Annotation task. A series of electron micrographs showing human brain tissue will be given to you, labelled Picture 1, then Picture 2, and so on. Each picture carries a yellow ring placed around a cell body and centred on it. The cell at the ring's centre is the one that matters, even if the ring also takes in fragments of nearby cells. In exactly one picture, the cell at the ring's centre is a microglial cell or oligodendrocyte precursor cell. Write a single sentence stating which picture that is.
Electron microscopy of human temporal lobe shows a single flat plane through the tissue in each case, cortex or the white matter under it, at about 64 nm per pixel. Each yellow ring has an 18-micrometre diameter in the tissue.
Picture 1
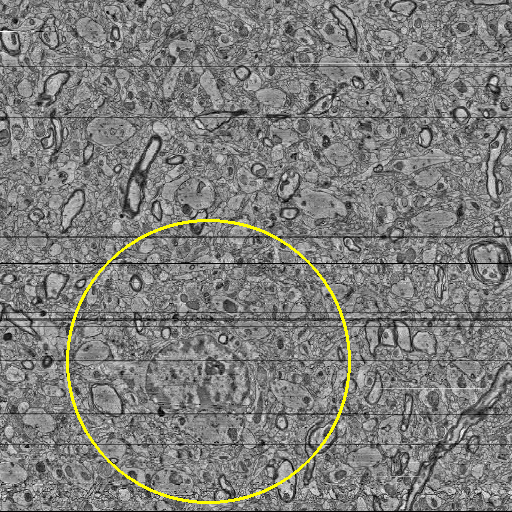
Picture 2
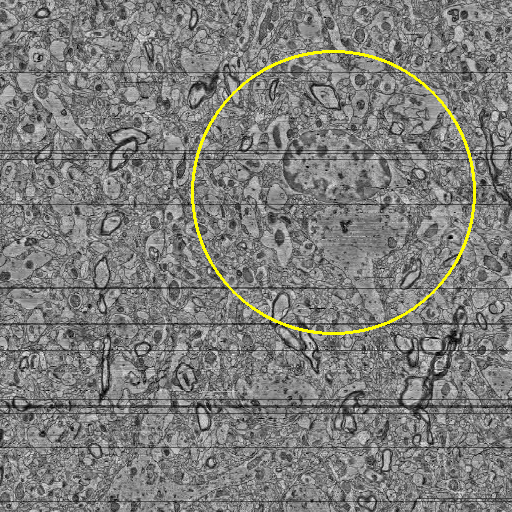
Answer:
Picture 2 holds the requested cell at the very centre of its ring.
